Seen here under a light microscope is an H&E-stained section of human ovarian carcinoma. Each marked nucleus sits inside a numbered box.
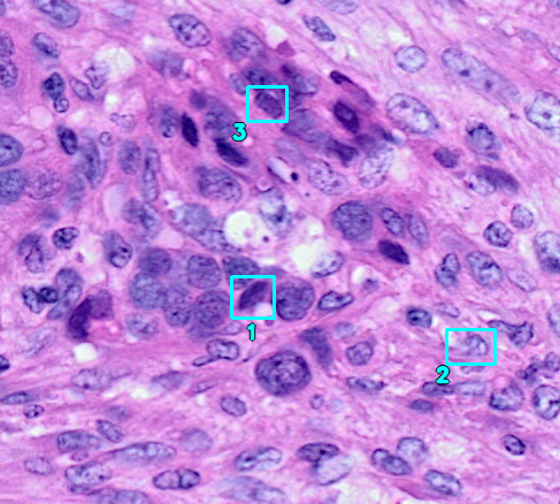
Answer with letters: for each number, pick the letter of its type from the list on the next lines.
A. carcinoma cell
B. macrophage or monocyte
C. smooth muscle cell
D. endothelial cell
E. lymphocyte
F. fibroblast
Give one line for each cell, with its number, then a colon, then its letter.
1: A
2: F
3: A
